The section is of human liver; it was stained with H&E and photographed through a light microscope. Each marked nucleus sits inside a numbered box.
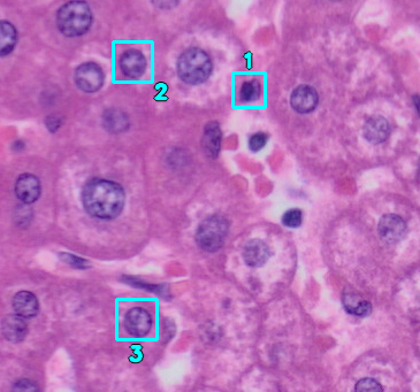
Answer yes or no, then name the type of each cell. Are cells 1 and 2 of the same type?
No, cell 1 is a fibroblast or stellate cell whereas cell 2 is a hepatocyte.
